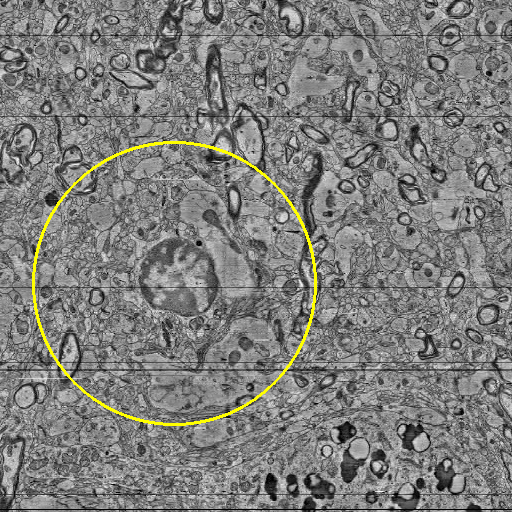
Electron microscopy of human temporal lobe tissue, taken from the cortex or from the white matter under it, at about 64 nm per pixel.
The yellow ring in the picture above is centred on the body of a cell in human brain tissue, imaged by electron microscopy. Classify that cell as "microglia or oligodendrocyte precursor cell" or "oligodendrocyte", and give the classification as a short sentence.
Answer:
The cell in the middle of the ring is a microglial cell or oligodendrocyte precursor cell.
